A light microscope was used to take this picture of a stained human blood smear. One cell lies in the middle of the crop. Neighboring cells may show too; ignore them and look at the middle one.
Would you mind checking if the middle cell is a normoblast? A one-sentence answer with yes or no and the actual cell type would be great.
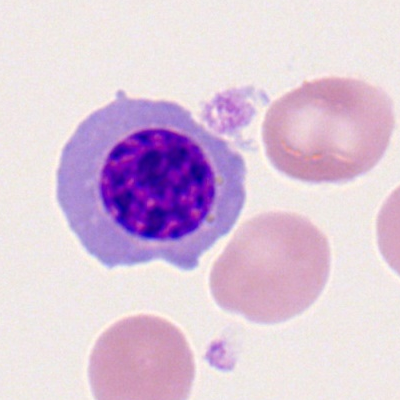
Yes, the cell that occupies the centre is a normoblast.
